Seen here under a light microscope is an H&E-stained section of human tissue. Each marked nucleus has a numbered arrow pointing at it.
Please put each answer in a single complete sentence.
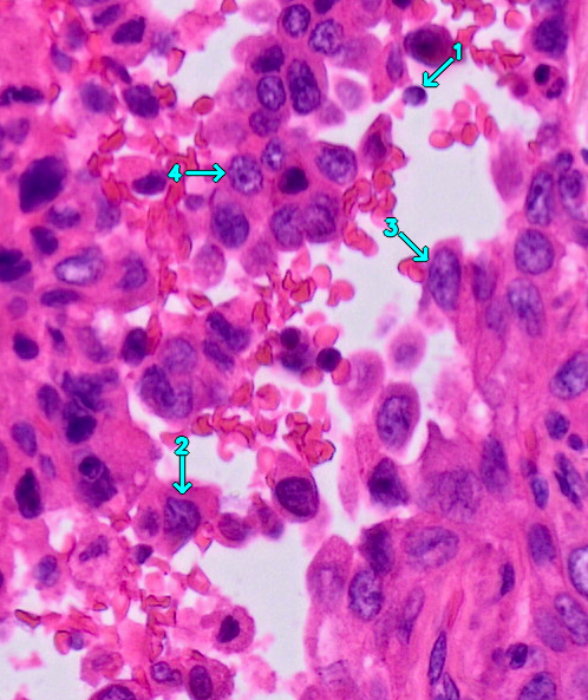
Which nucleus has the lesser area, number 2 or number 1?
With nucleus 2 about 4 times its size, nucleus 1 is the smaller of the two.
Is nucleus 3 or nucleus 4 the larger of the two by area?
Of the two, number 3 is bigger and takes up about 1.5 times the area of number 4.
